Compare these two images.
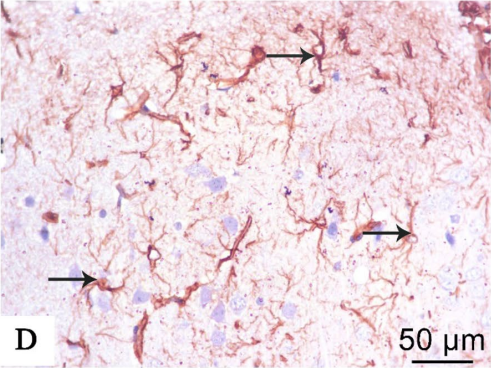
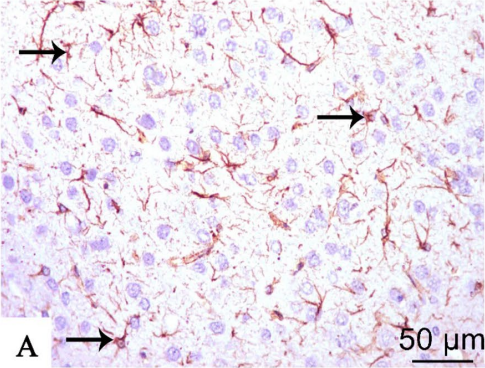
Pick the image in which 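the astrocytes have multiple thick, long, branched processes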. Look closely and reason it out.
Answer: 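First image: brown-stained cells bear several thick, long processes that branch. Second image: brown-stained cells are small with thin, shorter processes. That points to this answer: the first image.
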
